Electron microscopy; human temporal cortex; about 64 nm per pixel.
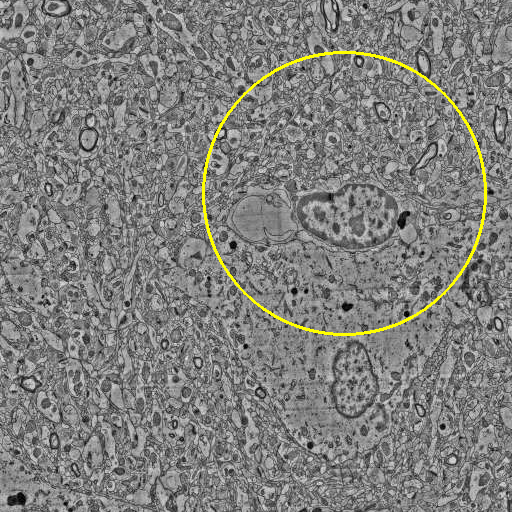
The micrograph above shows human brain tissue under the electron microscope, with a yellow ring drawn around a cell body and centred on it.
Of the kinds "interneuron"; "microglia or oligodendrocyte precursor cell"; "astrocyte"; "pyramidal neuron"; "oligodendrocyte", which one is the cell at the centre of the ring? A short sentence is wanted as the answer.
The one at the centre of the ring is a microglial cell or oligodendrocyte precursor cell.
